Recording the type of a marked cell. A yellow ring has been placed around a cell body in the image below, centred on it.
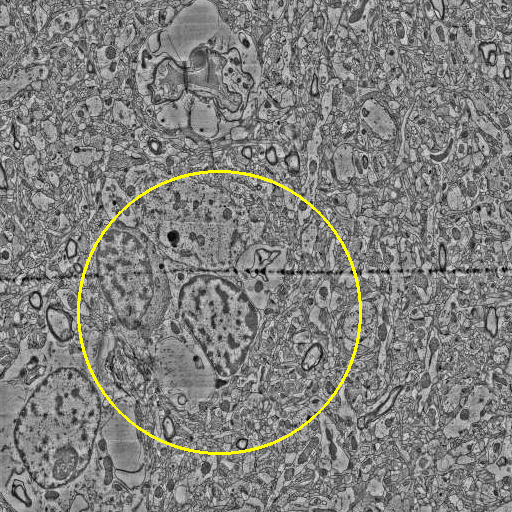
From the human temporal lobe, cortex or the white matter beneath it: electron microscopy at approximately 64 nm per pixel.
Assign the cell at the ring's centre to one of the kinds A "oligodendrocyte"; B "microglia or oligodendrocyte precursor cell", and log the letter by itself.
B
